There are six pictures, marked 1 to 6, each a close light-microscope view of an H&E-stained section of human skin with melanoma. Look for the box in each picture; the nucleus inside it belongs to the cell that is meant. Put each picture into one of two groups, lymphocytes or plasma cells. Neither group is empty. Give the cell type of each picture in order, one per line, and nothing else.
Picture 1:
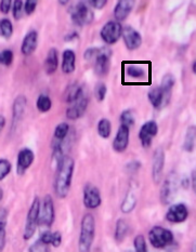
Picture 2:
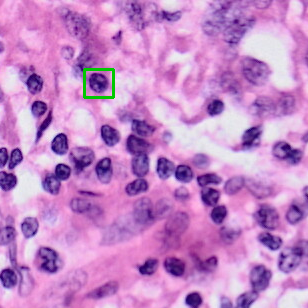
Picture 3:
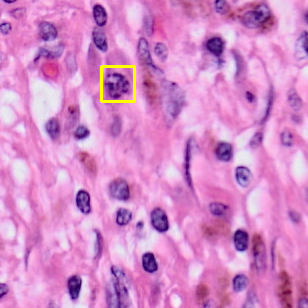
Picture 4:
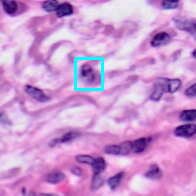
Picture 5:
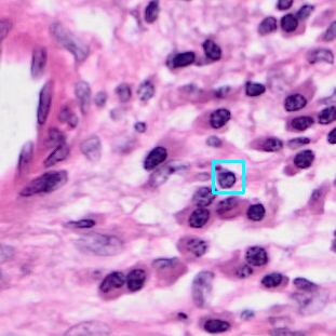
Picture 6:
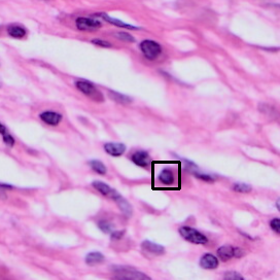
lymphocyte
plasma cell
plasma cell
plasma cell
lymphocyte
plasma cell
